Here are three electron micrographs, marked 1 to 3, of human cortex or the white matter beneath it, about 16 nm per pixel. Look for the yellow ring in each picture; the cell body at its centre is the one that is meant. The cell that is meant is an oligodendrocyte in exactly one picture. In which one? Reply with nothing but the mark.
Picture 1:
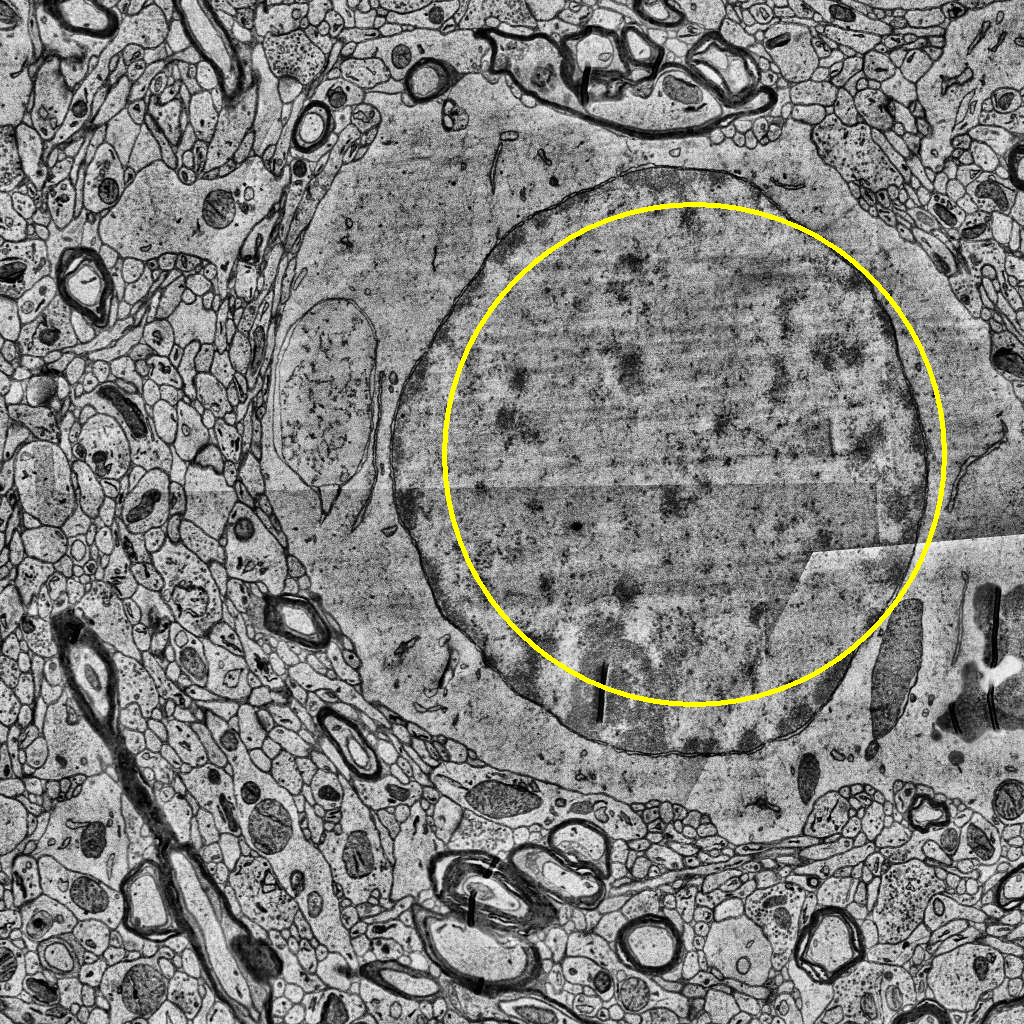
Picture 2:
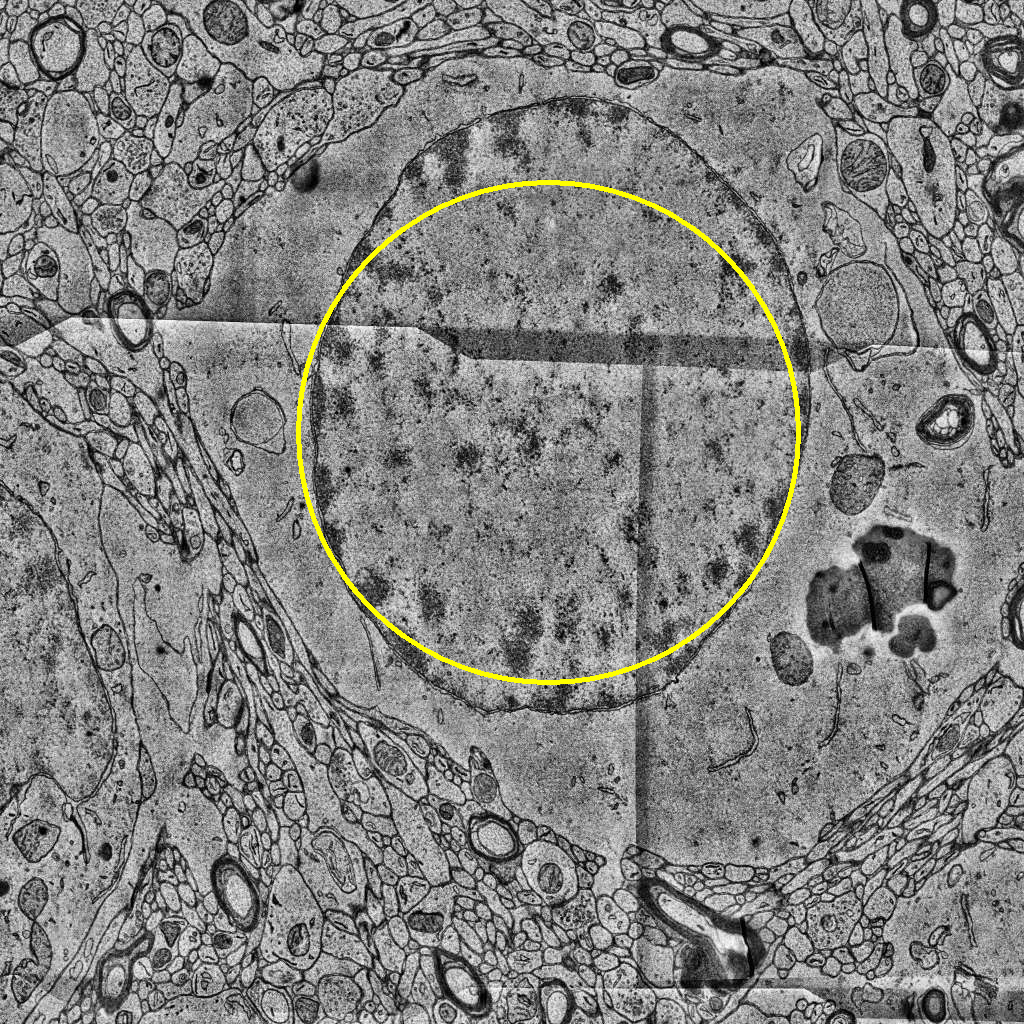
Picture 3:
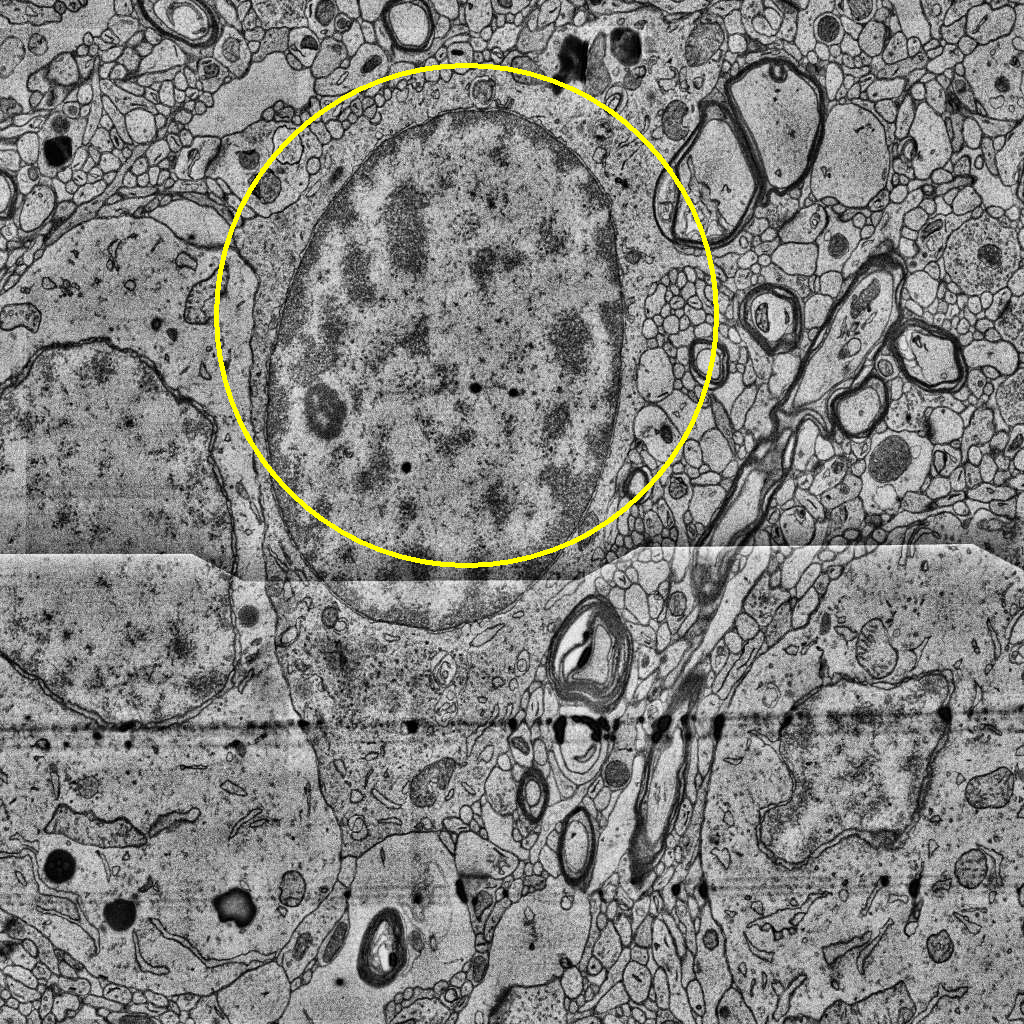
3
